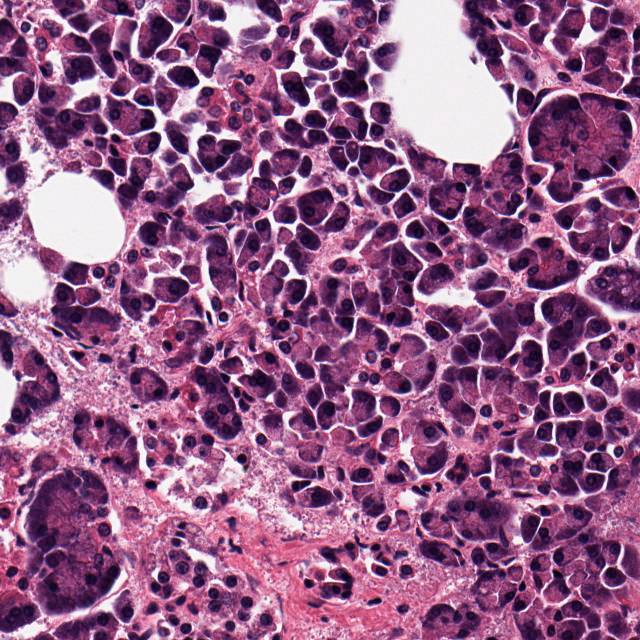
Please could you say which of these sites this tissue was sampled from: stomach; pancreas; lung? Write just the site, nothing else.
pancreas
